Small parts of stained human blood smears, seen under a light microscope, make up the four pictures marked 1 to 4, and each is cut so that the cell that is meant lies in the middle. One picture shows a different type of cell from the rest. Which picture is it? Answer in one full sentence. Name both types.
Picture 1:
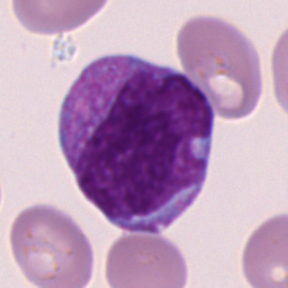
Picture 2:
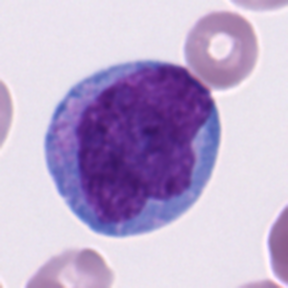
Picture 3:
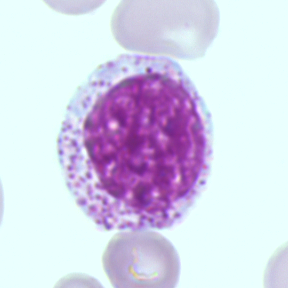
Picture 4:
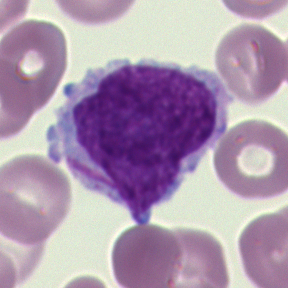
Picture 3 differs, because its cell is a myelocyte and the rest are atypical promyelocytes.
